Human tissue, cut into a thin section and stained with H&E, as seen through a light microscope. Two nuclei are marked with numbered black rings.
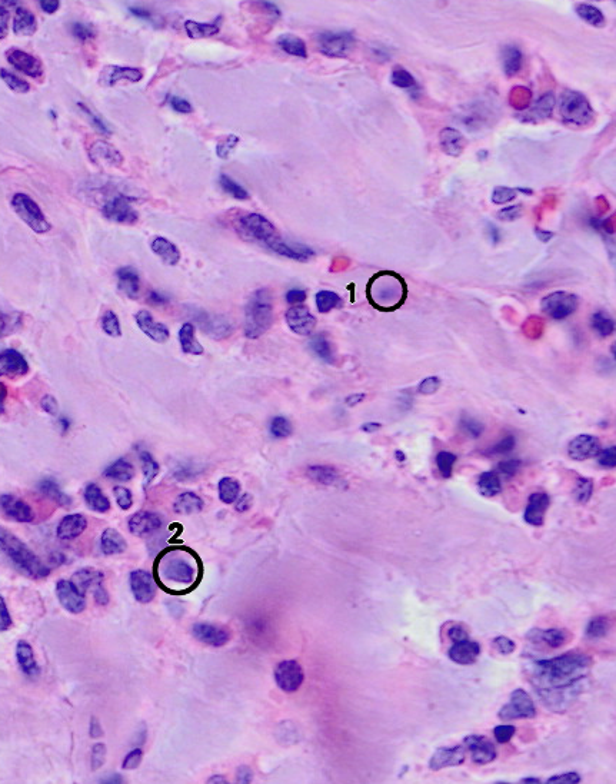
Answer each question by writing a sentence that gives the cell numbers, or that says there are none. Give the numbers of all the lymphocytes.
Cell 2 is the single numbered cell that is a lymphocyte.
